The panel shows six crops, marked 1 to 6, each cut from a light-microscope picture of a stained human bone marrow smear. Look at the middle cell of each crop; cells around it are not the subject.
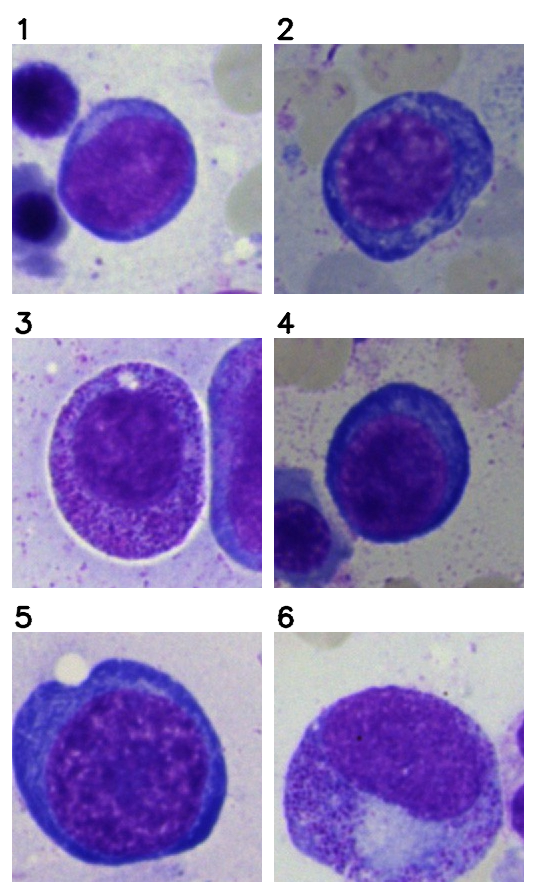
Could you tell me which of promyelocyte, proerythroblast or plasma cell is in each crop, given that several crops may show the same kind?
1: proerythroblast
2: proerythroblast
3: promyelocyte
4: proerythroblast
5: proerythroblast
6: promyelocyte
